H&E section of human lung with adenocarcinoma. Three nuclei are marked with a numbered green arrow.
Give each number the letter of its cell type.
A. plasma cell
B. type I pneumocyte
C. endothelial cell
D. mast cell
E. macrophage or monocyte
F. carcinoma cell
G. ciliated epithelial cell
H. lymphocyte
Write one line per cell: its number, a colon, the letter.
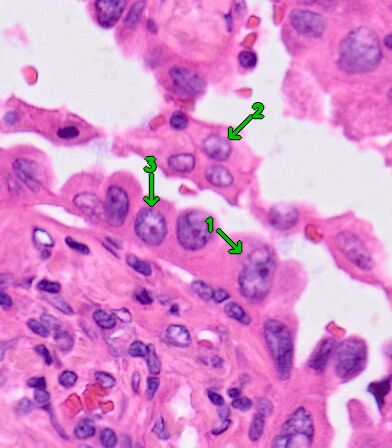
1: F
2: E
3: F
